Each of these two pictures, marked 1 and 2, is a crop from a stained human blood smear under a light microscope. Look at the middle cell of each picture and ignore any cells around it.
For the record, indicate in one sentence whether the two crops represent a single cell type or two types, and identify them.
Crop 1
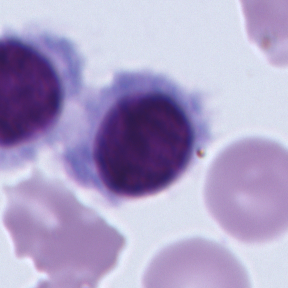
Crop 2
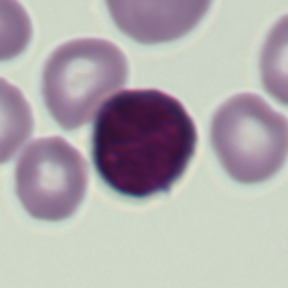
No, a hairy cell and a myeloblast are found in crop 1 and crop 2, respectively.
